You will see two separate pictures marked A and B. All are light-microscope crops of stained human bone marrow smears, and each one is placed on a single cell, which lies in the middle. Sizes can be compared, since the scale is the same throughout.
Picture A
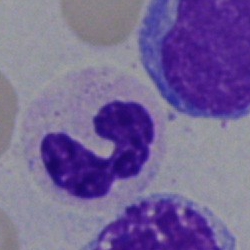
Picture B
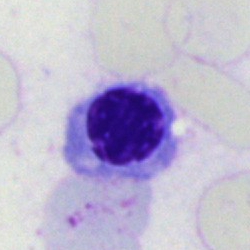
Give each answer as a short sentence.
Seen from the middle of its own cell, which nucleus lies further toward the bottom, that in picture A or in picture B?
Seen within its cell, the nucleus in picture A lies further toward the bottom.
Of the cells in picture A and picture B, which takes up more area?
It is the cell in picture A, about 2 times as large in area as the cell in picture B.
